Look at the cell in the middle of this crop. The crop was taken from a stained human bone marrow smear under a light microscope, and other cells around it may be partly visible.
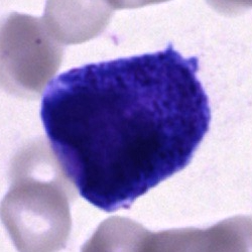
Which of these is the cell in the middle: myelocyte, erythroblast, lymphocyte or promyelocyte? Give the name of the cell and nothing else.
promyelocyte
